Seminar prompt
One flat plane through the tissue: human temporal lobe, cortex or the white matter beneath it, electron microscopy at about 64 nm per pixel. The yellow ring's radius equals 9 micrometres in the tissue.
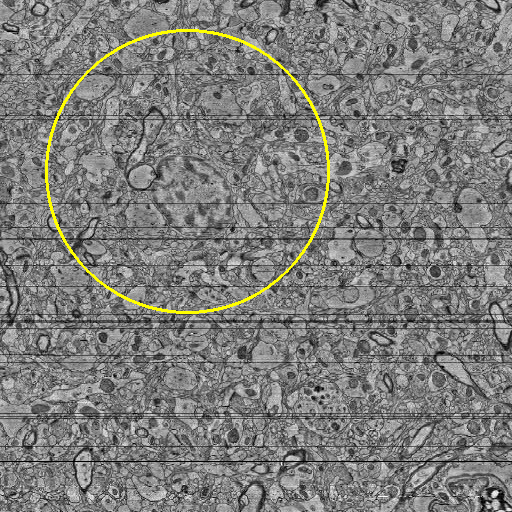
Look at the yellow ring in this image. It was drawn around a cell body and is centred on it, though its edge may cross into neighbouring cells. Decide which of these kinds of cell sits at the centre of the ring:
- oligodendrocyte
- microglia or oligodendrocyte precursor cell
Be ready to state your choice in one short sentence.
The kind of cell at the ring's centre is an oligodendrocyte.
